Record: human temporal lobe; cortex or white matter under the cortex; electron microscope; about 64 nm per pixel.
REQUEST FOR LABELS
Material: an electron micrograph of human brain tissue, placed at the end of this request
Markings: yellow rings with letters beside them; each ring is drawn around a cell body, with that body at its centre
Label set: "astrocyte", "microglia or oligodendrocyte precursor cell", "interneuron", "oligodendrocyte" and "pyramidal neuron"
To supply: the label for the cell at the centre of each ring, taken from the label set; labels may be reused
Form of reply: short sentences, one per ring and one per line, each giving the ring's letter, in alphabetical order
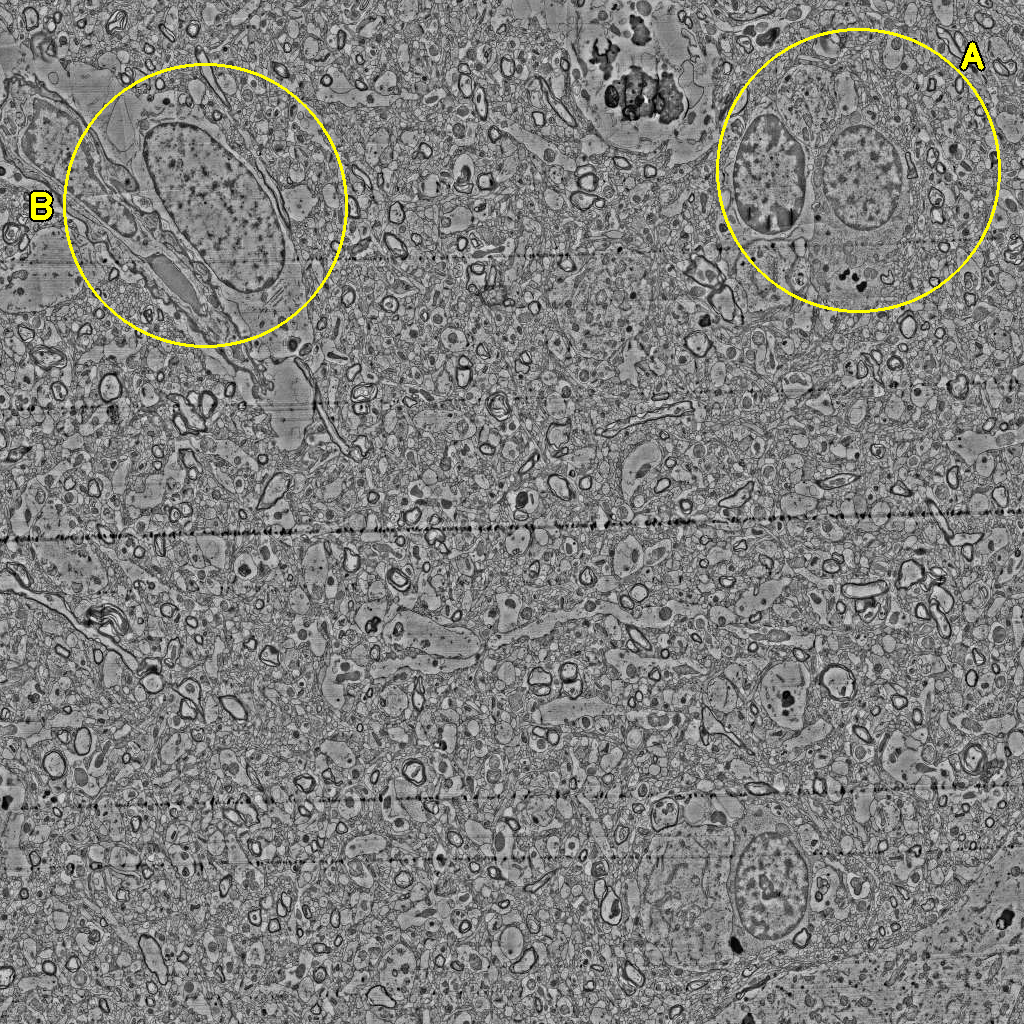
Ring A: the cell in the middle is an oligodendrocyte.
Ring B: the cell in the middle is a microglial cell or oligodendrocyte precursor cell.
